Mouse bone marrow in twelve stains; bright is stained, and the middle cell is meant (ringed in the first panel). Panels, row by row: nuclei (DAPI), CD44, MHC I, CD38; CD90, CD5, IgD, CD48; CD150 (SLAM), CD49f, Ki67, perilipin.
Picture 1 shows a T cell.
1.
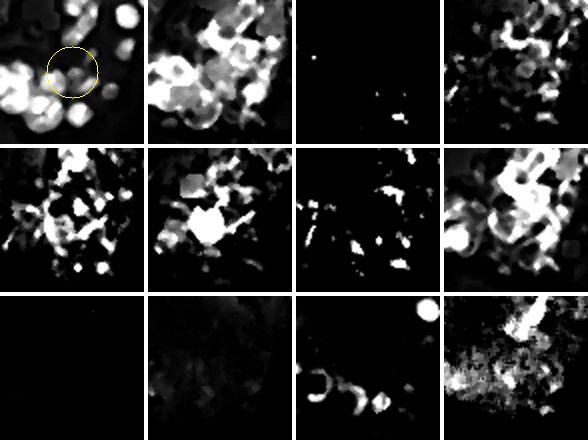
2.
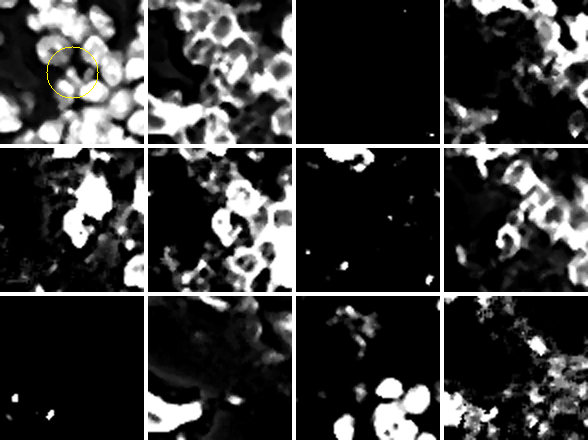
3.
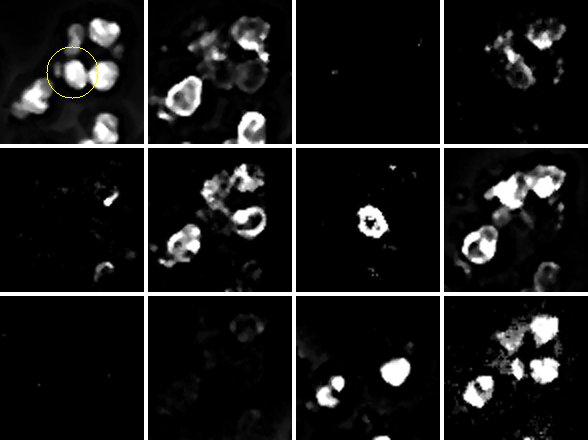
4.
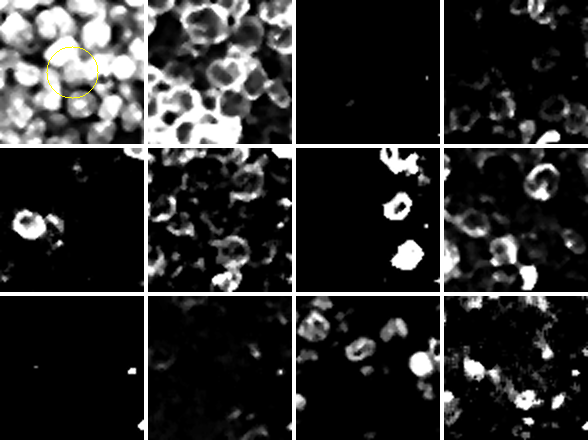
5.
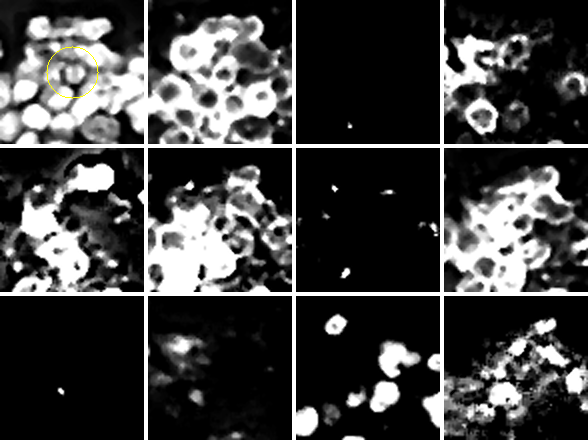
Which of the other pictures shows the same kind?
Picture 2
